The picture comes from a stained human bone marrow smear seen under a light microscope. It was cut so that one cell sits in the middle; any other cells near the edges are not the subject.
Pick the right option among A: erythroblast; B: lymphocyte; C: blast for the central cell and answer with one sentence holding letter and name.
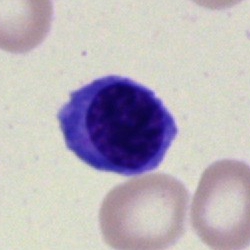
Well, the cell in the middle is an erythroblast, making option A right.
